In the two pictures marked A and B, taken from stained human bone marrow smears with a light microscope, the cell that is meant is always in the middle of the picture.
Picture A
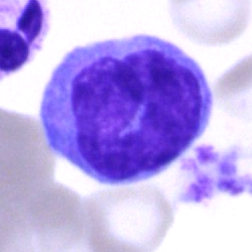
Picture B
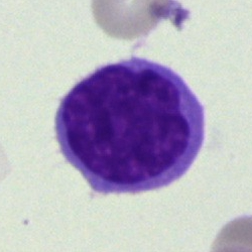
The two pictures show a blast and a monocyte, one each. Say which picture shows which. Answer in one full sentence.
Picture B shows a blast, while picture A shows a monocyte.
